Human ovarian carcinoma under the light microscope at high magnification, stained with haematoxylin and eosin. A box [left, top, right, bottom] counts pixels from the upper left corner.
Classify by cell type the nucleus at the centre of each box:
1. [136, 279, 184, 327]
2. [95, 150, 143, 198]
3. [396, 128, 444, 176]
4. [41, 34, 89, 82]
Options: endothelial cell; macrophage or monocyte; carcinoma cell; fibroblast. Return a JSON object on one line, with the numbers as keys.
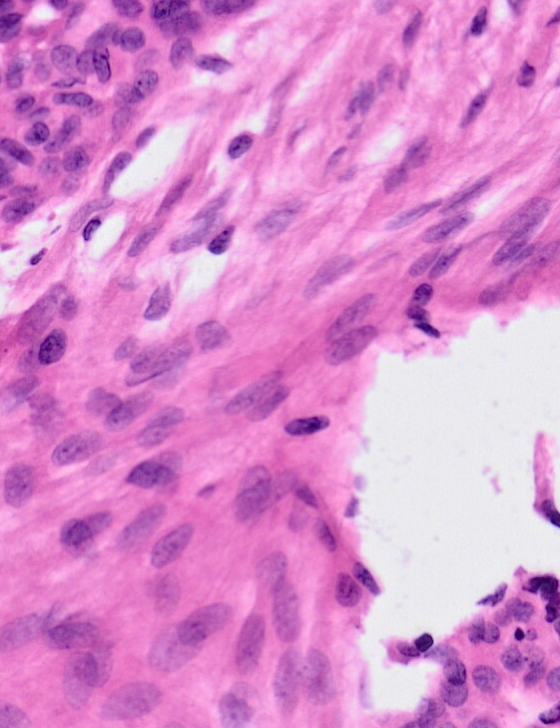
{"1": "fibroblast", "2": "fibroblast", "3": "fibroblast", "4": "carcinoma cell"}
